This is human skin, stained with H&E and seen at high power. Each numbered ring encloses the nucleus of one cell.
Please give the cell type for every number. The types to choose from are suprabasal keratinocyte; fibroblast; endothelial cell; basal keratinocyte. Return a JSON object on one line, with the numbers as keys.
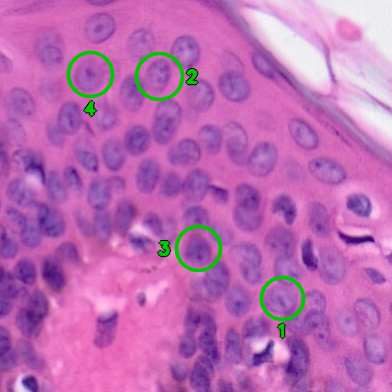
{"1": "suprabasal keratinocyte", "2": "suprabasal keratinocyte", "3": "basal keratinocyte", "4": "suprabasal keratinocyte"}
